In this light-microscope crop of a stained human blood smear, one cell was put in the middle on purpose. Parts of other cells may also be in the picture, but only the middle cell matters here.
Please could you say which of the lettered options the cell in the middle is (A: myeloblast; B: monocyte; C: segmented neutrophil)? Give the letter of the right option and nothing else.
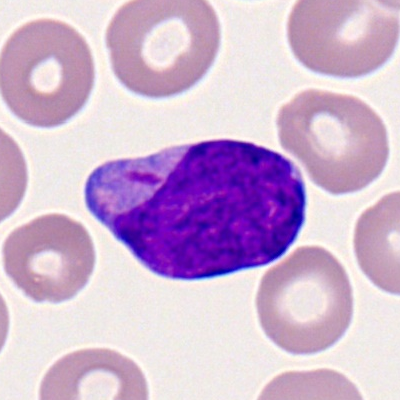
A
